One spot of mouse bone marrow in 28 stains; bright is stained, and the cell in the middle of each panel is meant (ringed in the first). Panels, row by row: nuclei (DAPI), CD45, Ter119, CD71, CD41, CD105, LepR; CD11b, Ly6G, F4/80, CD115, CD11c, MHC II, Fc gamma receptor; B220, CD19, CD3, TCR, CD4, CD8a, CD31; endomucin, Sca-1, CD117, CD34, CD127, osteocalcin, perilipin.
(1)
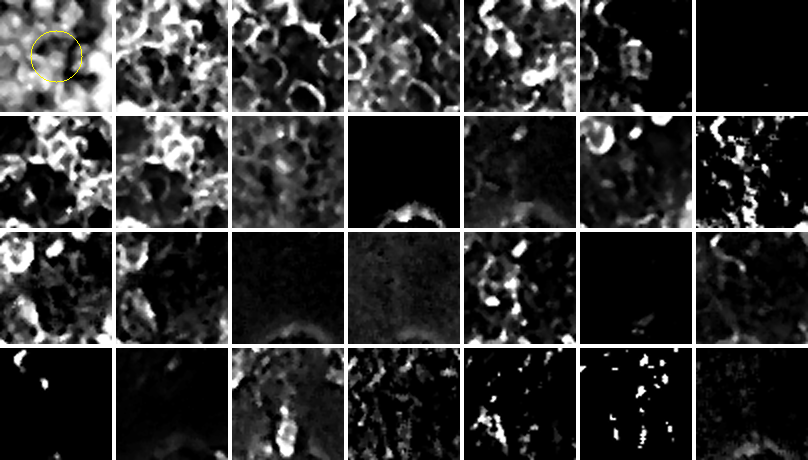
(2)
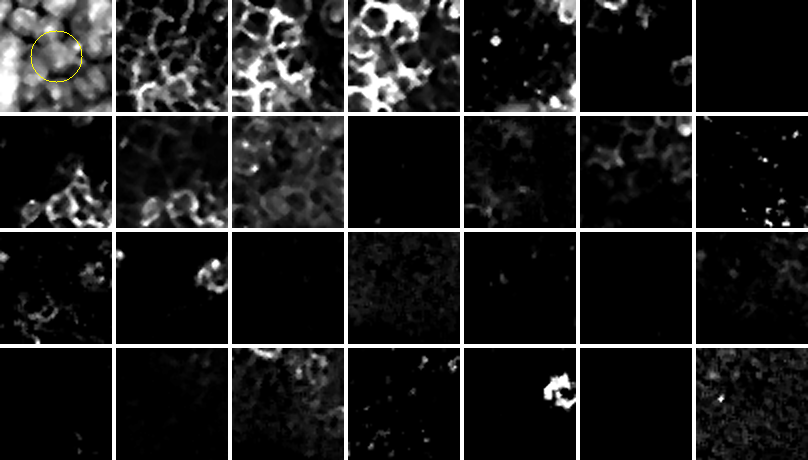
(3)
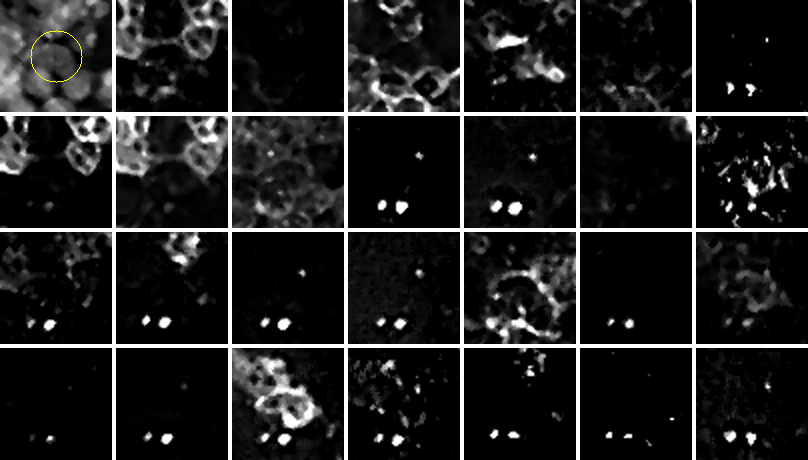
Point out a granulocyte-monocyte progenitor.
That is picture 3.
